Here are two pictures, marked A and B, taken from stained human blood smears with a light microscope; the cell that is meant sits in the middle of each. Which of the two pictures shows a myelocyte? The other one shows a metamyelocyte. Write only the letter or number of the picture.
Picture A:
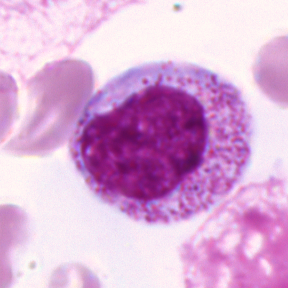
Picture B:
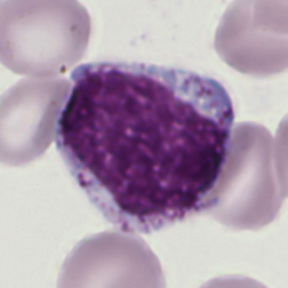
B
